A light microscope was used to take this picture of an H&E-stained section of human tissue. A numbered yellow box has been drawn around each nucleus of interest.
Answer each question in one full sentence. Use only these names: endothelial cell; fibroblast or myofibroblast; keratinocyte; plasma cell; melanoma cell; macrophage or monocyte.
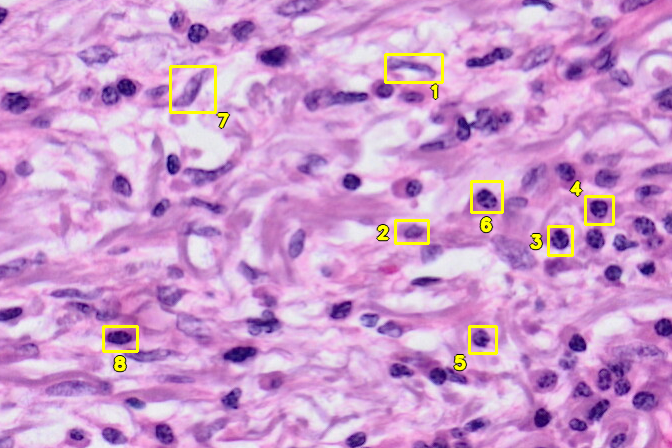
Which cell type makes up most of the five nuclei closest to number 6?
Most of the five nuclei nearest to number 6 are those of fibroblasts or myofibroblasts.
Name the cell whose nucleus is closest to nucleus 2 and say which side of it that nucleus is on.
The closest nucleus belongs to an endothelial cell and sits below and to the right of nucleus 2.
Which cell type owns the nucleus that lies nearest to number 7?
Number 7 lies closest to the nucleus of a fibroblast or myofibroblast.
